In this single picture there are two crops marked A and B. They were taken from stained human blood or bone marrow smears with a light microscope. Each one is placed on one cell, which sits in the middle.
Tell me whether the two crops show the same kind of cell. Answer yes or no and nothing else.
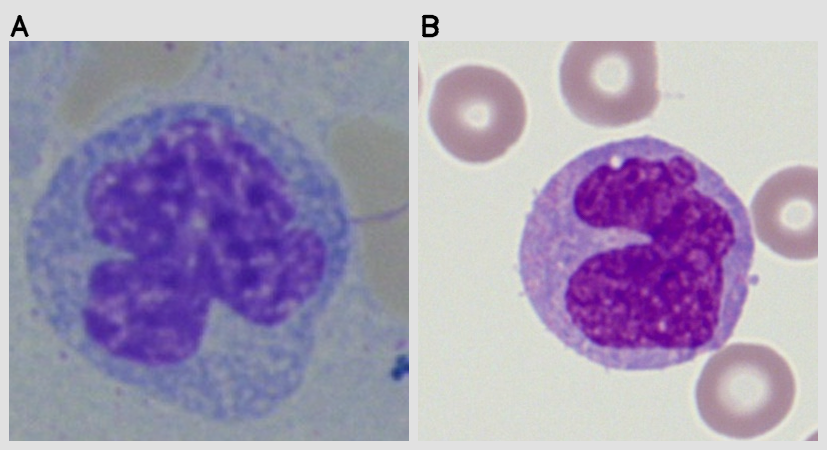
yes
